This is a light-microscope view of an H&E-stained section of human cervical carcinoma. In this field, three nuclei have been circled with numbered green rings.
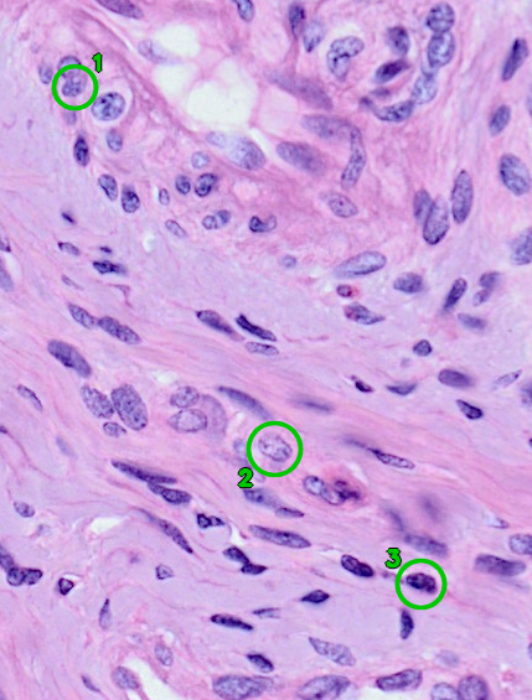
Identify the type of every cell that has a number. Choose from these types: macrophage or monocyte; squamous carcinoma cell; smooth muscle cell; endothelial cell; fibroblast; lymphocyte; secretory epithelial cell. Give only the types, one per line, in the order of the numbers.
smooth muscle cell
endothelial cell
lymphocyte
